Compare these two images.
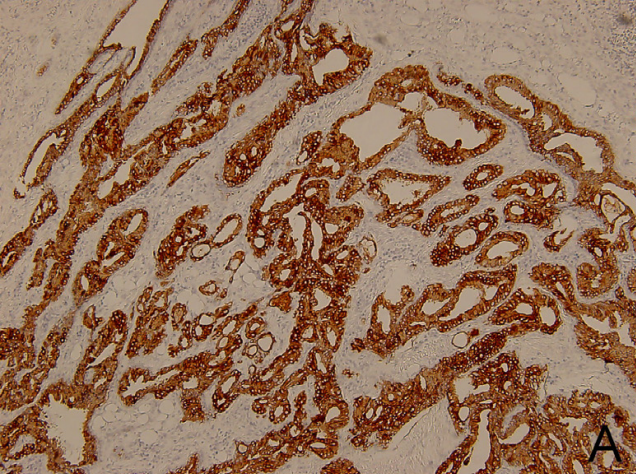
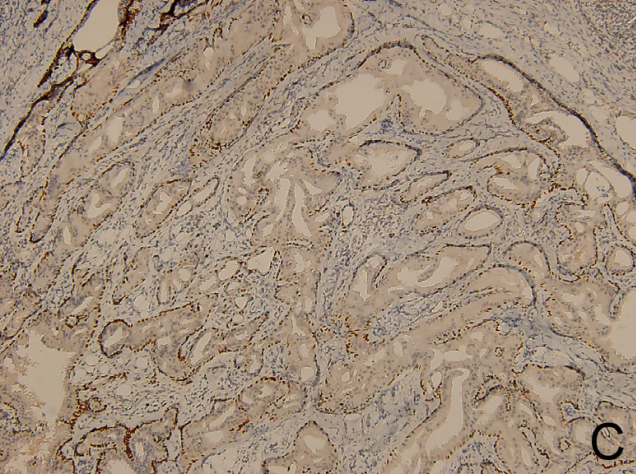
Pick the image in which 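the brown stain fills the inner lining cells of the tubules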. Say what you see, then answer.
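The first image. Second image: only thin brown lines at the tubules' outer rims, the lining cells pale. First image: the whole epithelial lining of the tubules is strongly brown.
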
